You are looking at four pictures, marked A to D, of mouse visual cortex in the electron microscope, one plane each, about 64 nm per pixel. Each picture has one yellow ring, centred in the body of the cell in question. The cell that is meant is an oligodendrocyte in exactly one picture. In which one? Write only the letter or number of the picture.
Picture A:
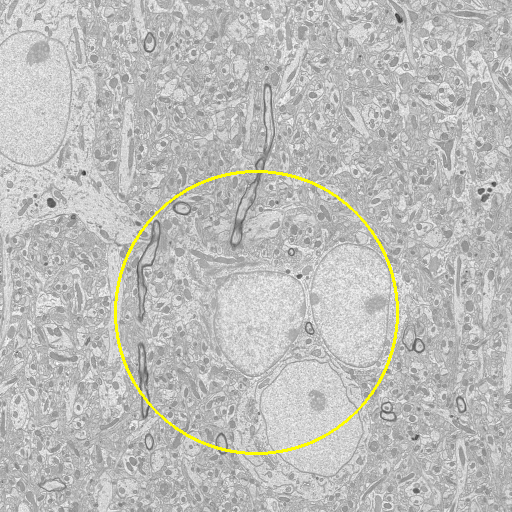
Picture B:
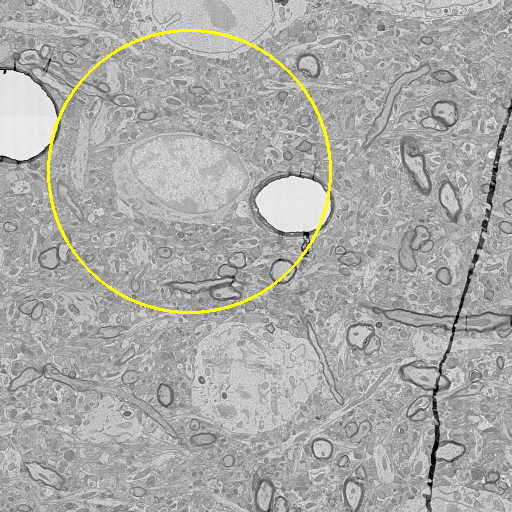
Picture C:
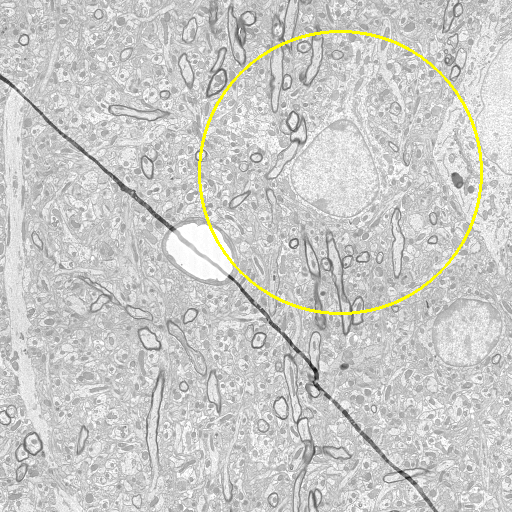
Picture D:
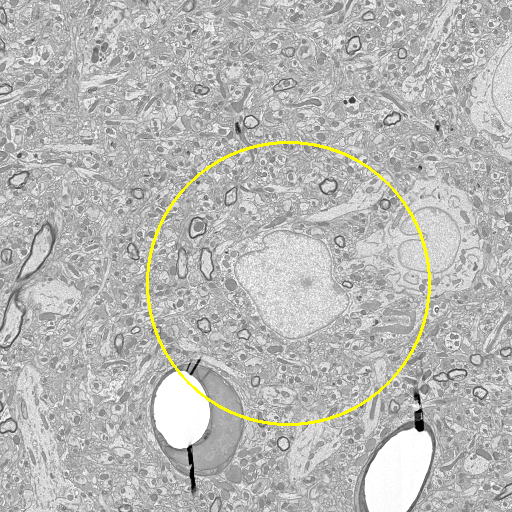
B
